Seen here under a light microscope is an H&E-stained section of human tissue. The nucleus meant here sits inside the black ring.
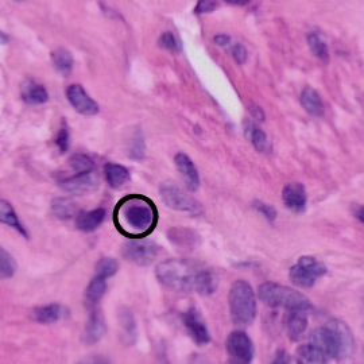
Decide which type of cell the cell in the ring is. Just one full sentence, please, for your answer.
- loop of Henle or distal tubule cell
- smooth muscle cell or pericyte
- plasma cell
In this field of tissue, the cell in the ring is a plasma cell.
